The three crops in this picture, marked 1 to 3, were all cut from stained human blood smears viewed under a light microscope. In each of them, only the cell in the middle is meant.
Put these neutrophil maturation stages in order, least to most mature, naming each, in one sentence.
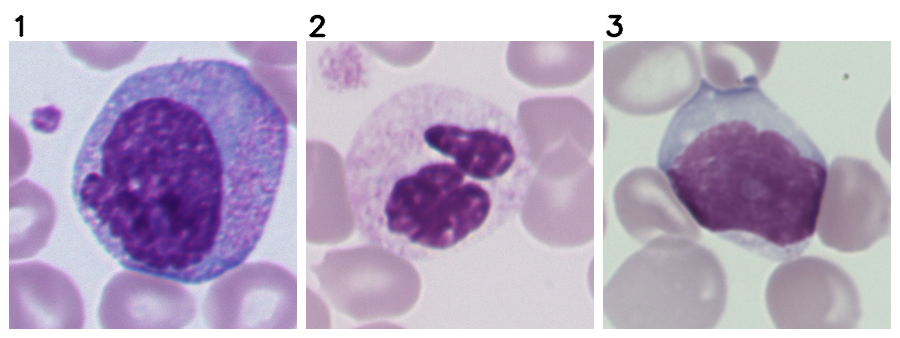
Maturity increases along the sequence crop 3 (a myeloblast), crop 1 (a promyelocyte) and crop 2 (a segmented neutrophil).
